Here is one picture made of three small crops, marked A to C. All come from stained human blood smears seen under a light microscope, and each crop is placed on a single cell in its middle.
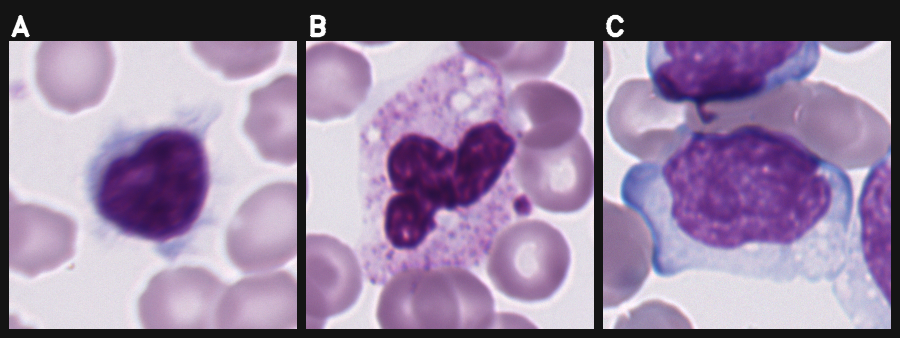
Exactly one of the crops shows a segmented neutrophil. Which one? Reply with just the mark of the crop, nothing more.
B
